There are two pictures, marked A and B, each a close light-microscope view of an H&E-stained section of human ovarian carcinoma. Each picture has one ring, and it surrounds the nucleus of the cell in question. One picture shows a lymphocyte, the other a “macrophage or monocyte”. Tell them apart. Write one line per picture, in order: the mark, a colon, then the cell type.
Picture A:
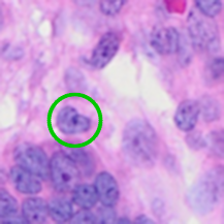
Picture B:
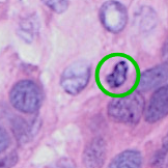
A: macrophage or monocyte
B: lymphocyte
